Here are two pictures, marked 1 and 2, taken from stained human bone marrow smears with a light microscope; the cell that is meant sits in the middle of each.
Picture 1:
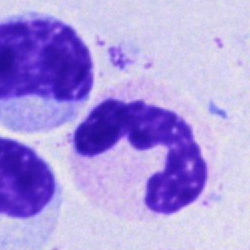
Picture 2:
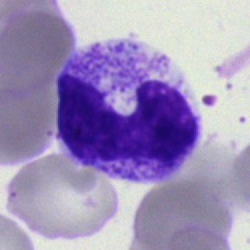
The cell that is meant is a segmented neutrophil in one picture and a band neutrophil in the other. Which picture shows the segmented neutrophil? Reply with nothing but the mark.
1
